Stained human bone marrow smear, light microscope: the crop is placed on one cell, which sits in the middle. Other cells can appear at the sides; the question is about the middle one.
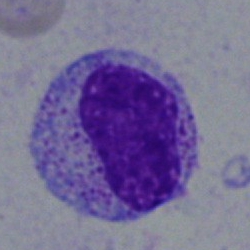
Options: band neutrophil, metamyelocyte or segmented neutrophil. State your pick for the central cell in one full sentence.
Located at the centre of the crop is a metamyelocyte.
